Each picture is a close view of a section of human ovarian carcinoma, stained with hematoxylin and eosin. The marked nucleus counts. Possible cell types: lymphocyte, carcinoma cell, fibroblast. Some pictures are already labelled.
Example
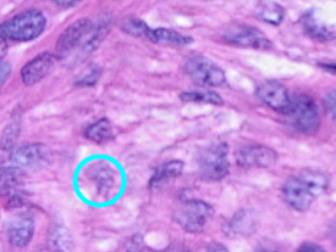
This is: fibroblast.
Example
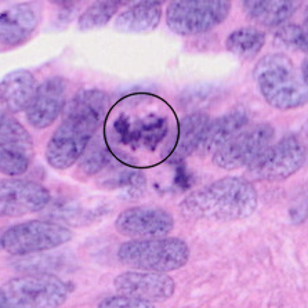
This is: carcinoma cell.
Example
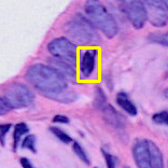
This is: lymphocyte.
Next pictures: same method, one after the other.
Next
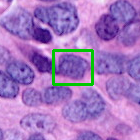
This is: carcinoma cell.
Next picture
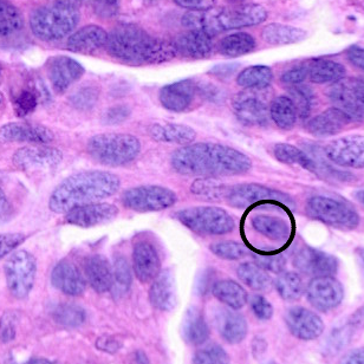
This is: carcinoma cell.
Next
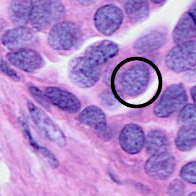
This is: carcinoma cell.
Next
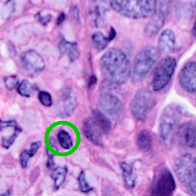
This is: lymphocyte.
